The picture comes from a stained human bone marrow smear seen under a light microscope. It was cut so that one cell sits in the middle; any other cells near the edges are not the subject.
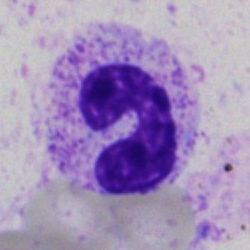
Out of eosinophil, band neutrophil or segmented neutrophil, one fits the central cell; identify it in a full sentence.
Positioned in the middle of the crop is a band neutrophil.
